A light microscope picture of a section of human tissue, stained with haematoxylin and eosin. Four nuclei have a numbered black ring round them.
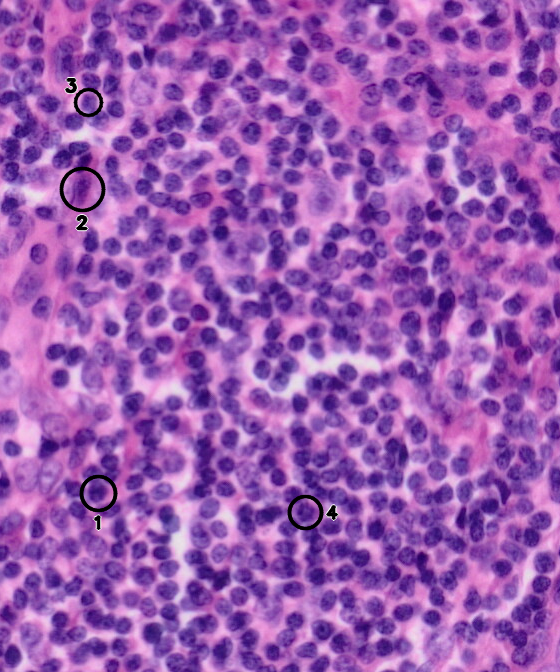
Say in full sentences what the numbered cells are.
Cell 1 is a small lymphocyte, cell 2 is an endothelial cell, cell 3 is a small lymphocyte and cell 4 is a small lymphocyte.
